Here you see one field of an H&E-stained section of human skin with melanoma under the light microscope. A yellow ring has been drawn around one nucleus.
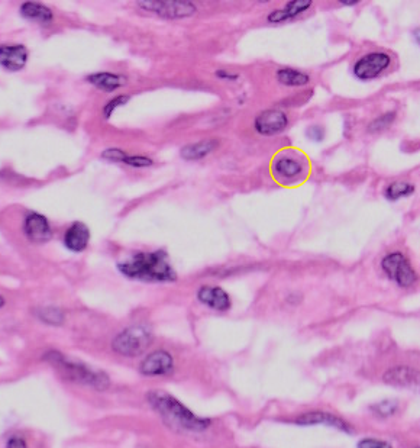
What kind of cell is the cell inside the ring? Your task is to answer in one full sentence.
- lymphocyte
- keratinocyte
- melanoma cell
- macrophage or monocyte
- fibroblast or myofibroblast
What the cell inside the ring represents is a macrophage or monocyte.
